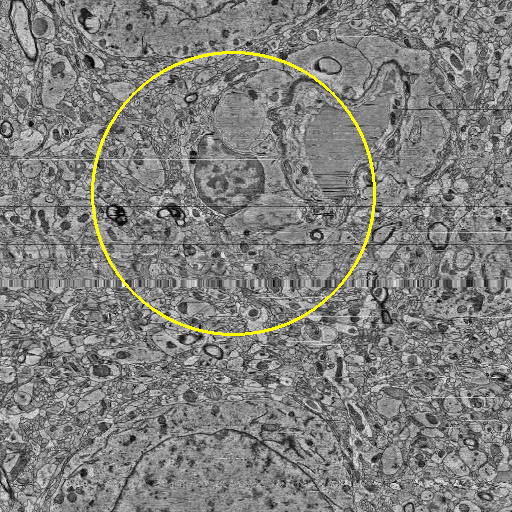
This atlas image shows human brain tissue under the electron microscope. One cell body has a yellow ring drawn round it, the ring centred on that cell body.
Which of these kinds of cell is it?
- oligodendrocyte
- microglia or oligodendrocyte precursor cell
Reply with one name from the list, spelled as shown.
microglia or oligodendrocyte precursor cell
